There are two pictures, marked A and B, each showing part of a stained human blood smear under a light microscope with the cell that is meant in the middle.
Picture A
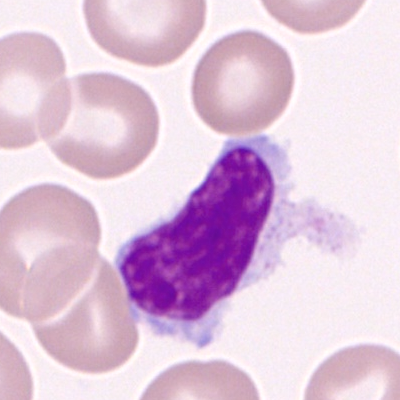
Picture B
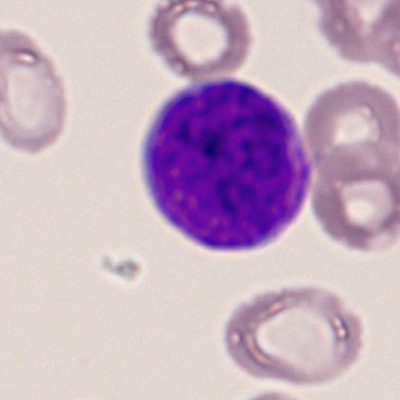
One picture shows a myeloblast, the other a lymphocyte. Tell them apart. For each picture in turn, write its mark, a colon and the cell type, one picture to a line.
A: lymphocyte
B: myeloblast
